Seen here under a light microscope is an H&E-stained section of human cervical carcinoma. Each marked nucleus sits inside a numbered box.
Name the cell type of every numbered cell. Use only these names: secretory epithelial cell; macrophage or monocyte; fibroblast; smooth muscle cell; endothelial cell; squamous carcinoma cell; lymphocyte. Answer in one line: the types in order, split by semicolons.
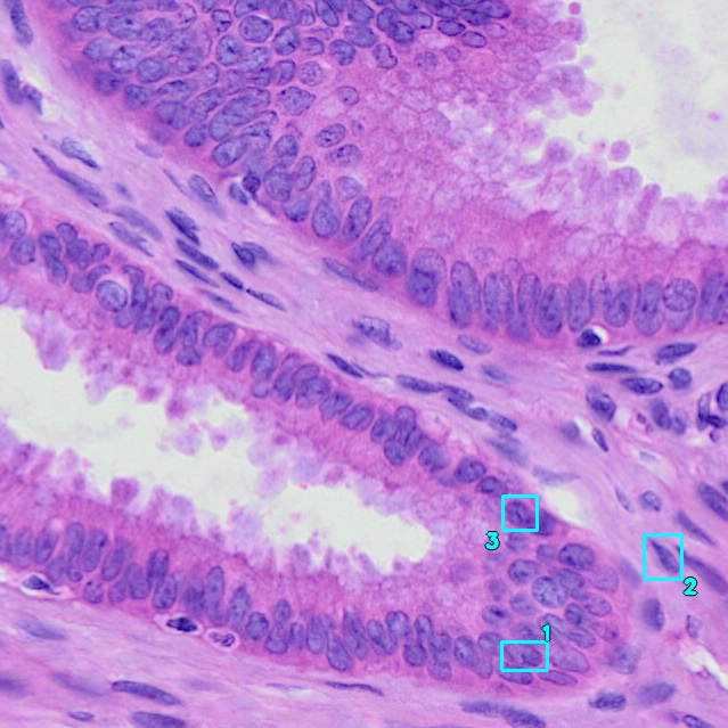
secretory epithelial cell; fibroblast; secretory epithelial cell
